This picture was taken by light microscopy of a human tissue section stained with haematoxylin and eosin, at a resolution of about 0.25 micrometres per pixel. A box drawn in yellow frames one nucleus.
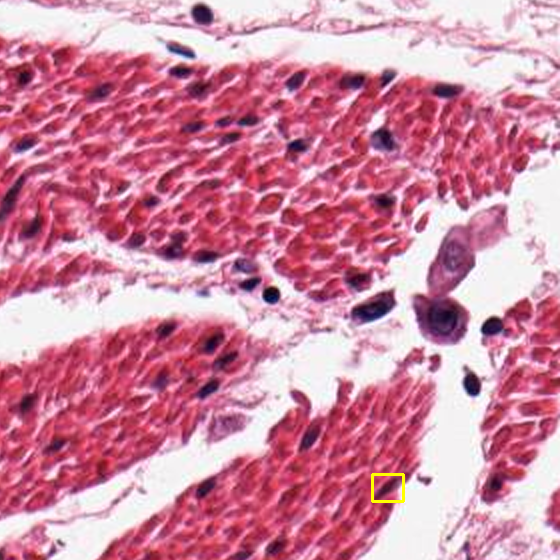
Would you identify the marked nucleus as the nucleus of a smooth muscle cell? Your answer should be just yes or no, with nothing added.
yes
